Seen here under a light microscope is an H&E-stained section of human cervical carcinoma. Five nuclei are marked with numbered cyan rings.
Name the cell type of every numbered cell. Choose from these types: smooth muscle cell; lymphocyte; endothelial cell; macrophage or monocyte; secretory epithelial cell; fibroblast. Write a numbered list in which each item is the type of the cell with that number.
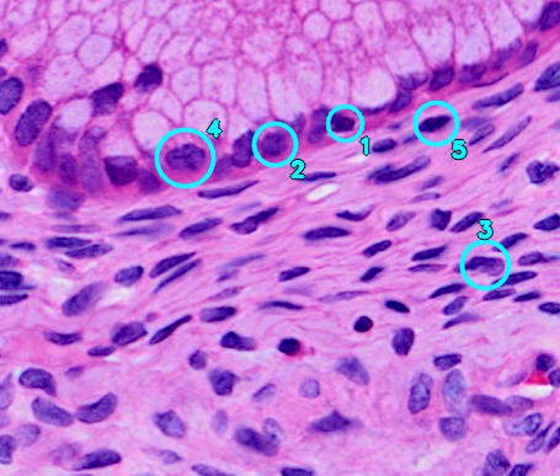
1. secretory epithelial cell
2. secretory epithelial cell
3. fibroblast
4. secretory epithelial cell
5. lymphocyte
